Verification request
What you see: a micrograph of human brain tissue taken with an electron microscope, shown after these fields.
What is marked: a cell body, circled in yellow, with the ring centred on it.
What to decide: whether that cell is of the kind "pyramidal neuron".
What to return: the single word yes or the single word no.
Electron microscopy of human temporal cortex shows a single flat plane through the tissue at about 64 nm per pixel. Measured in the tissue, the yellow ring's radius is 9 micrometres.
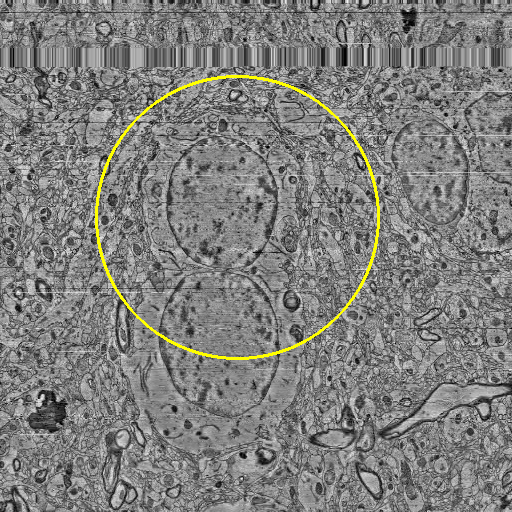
no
